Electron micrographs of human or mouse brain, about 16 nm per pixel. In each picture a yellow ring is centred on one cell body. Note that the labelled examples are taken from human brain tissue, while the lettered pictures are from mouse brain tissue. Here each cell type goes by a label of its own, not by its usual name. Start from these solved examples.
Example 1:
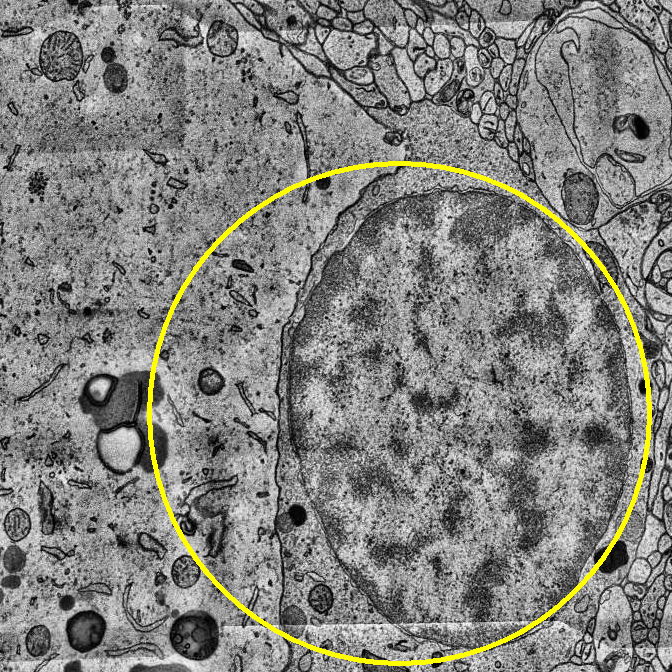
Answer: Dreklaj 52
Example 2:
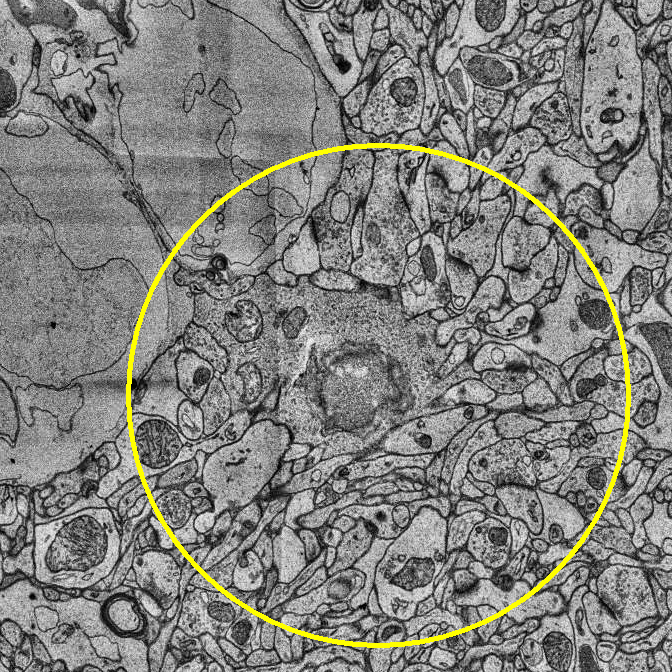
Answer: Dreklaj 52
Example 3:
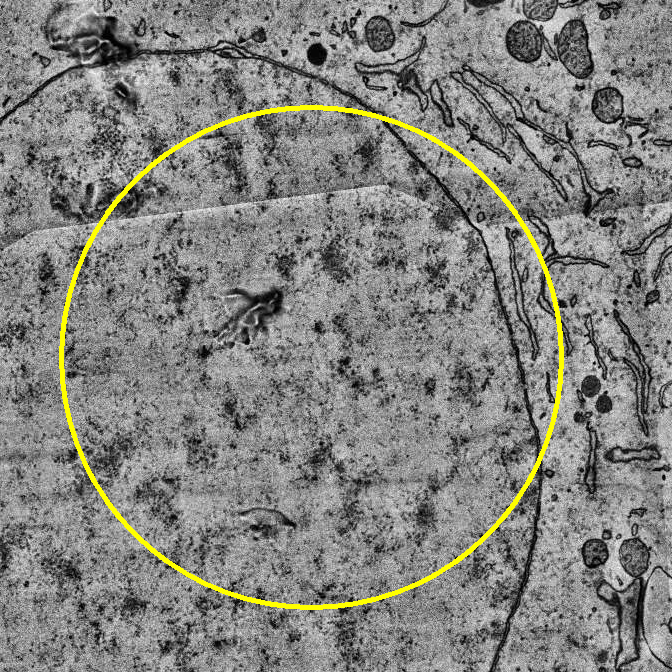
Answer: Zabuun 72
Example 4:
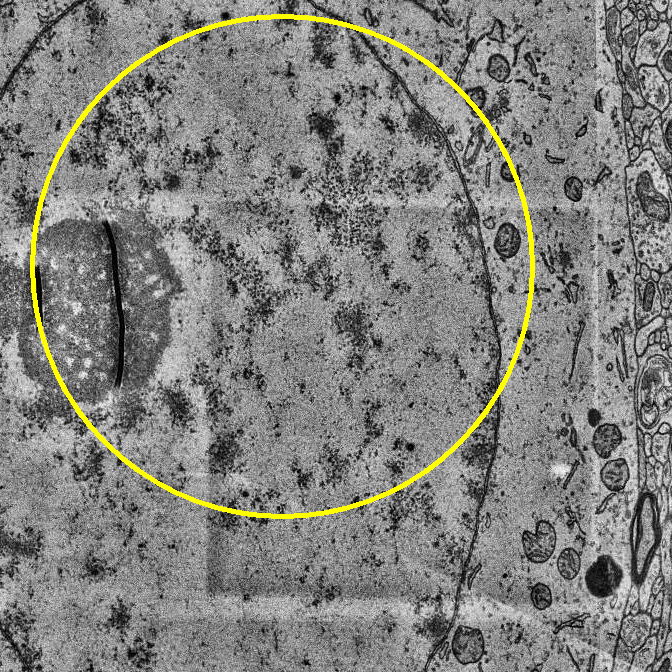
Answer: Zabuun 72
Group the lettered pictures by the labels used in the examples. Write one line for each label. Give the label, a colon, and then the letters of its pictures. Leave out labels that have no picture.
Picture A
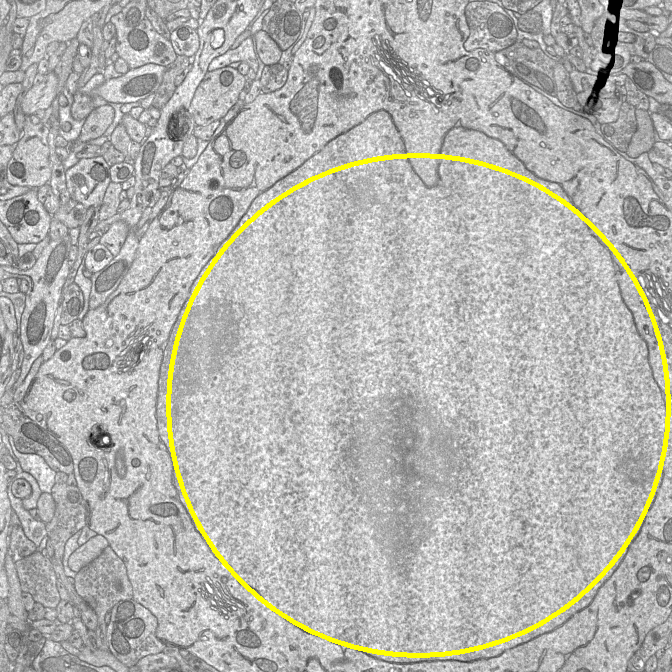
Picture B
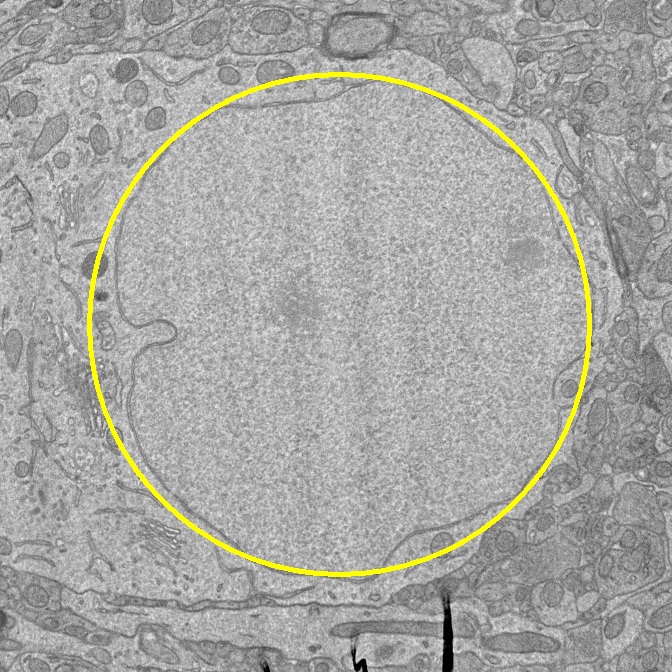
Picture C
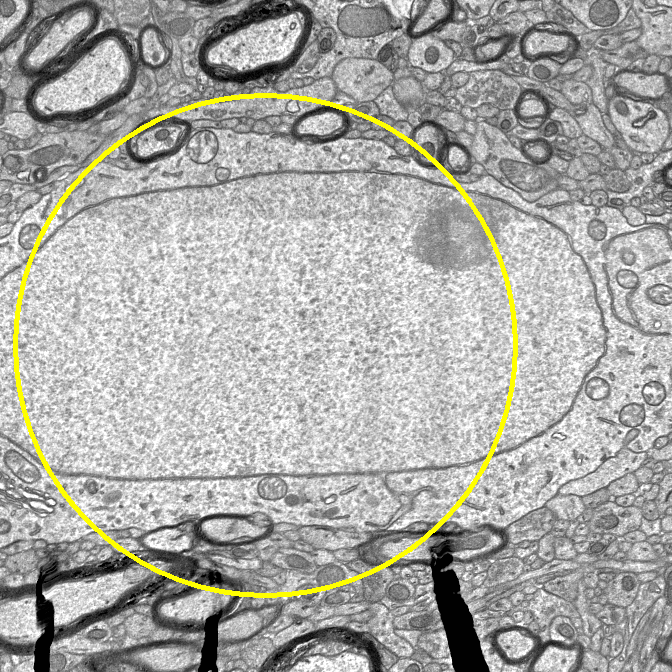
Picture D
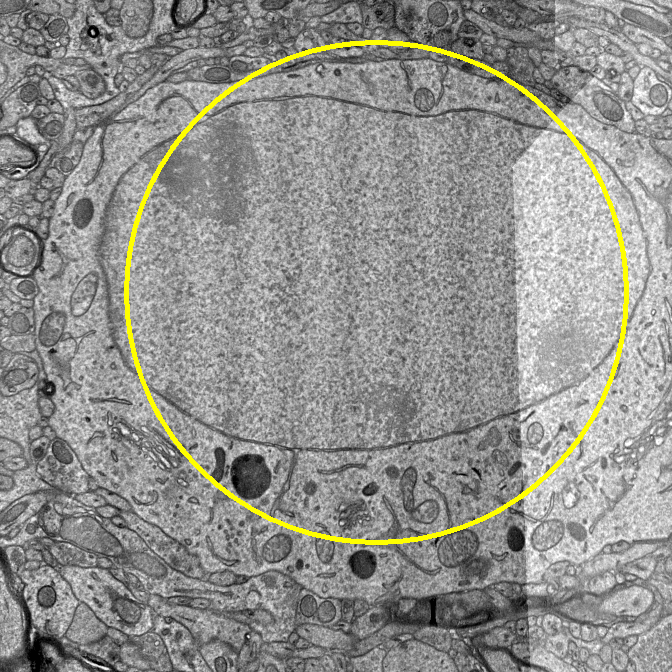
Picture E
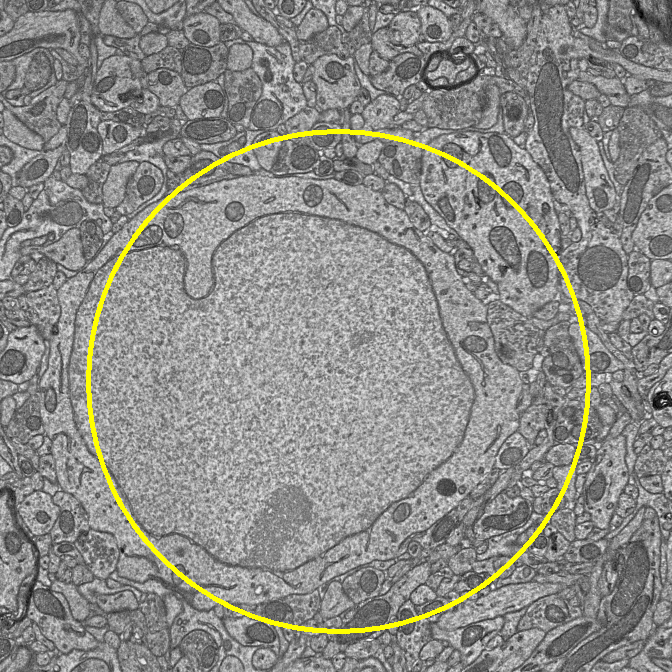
Zabuun 72: A, B, C, D, E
